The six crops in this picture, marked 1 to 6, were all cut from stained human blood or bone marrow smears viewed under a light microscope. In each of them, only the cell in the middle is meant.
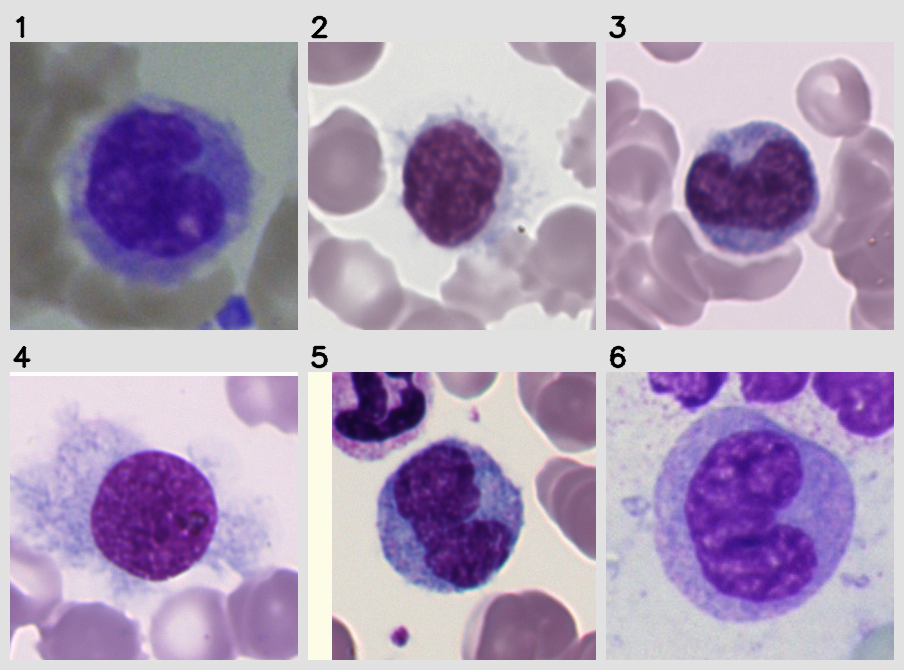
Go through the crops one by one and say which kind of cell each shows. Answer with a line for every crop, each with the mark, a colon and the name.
1: monocyte
2: hairy cell
3: monocyte
4: hairy cell
5: monocyte
6: monocyte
